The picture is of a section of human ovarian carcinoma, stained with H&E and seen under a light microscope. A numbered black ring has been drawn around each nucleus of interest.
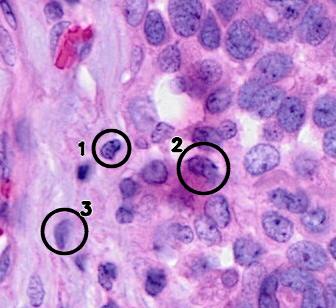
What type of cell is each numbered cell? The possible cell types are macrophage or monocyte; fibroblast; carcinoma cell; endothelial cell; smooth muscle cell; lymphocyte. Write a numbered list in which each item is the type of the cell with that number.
1. lymphocyte
2. macrophage or monocyte
3. fibroblast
